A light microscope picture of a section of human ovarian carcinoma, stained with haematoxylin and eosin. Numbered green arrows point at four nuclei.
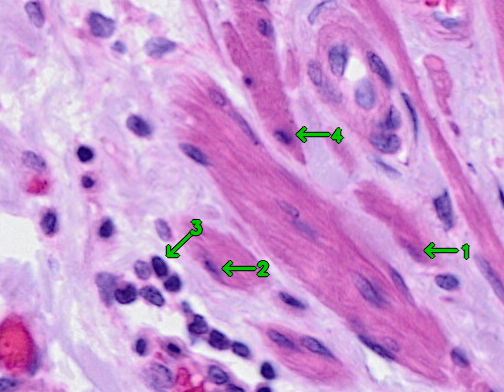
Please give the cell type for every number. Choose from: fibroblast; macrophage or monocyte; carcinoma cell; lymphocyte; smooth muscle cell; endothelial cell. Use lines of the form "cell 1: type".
cell 1: smooth muscle cell
cell 2: smooth muscle cell
cell 3: lymphocyte
cell 4: smooth muscle cell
